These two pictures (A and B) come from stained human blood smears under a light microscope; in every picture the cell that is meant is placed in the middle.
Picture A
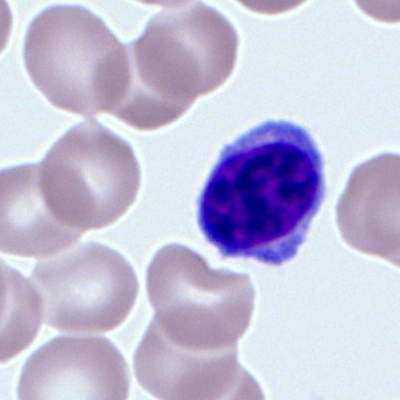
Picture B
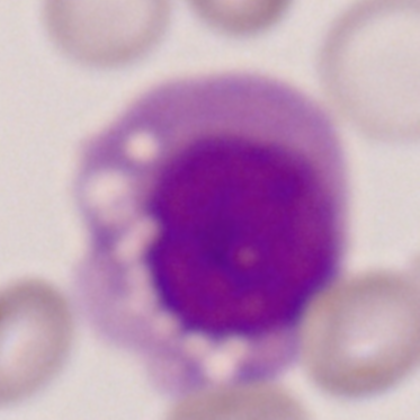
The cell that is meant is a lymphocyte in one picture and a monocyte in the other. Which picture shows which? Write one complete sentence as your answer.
Picture B shows a monocyte, while picture A shows a lymphocyte.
